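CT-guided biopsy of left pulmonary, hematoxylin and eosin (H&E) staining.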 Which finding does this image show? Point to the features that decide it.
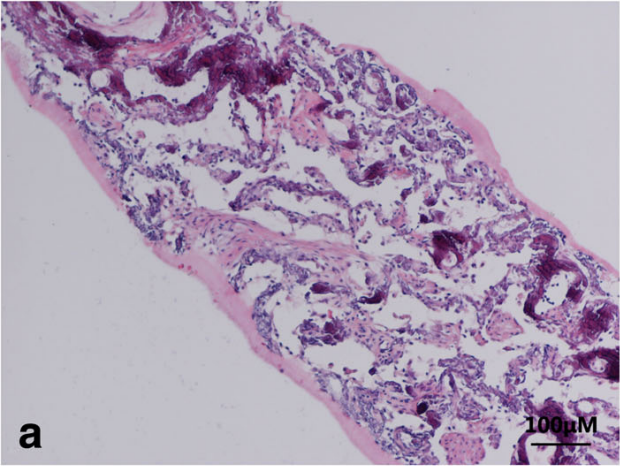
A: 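Alveolar walls appear thickened with pink fibrous tissue. Scattered dark purple deposits lie within the septa. On this evidence: interalveolar septa broadening.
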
